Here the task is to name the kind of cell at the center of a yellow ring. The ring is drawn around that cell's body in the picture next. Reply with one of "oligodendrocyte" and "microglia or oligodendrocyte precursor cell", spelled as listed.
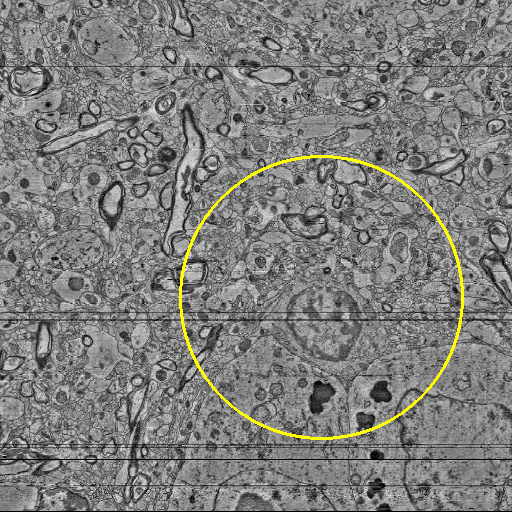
oligodendrocyte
